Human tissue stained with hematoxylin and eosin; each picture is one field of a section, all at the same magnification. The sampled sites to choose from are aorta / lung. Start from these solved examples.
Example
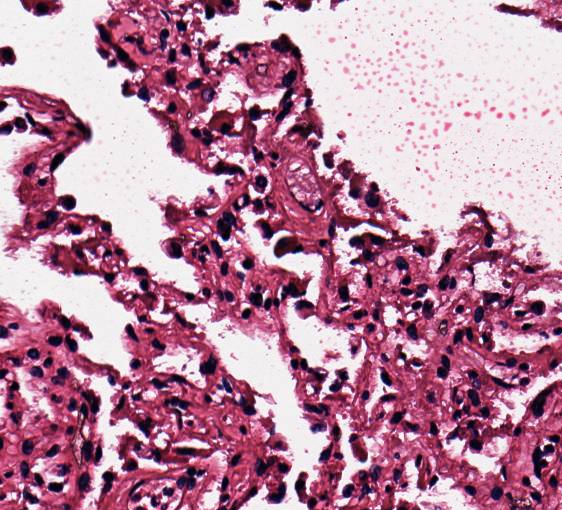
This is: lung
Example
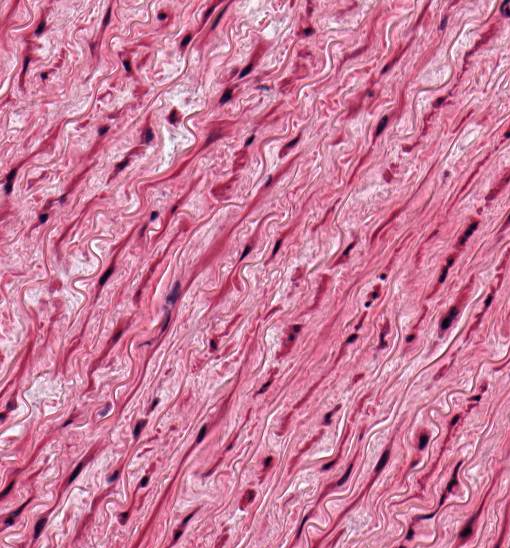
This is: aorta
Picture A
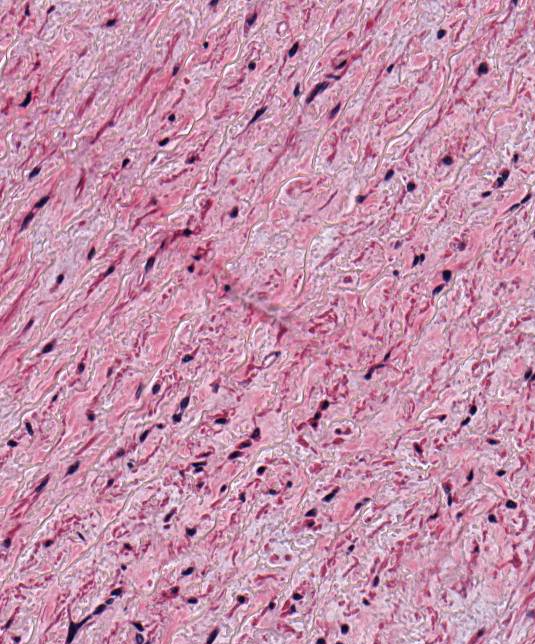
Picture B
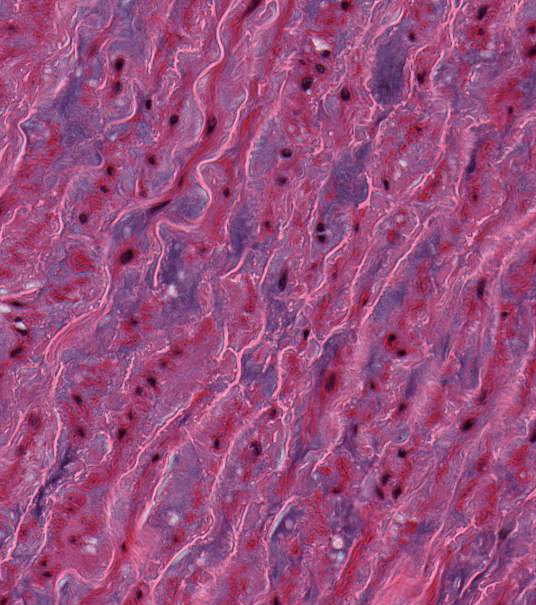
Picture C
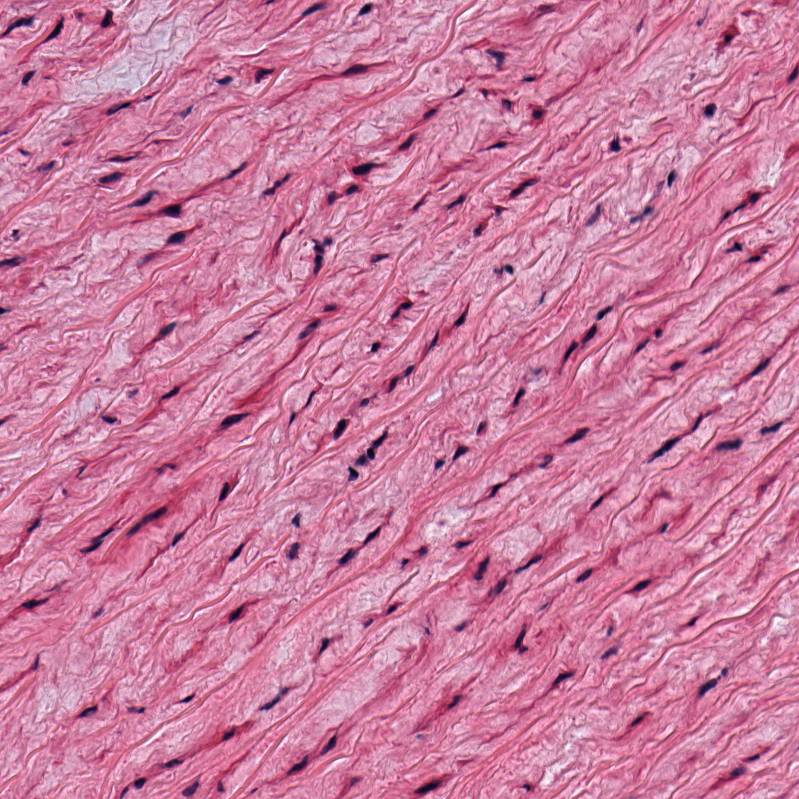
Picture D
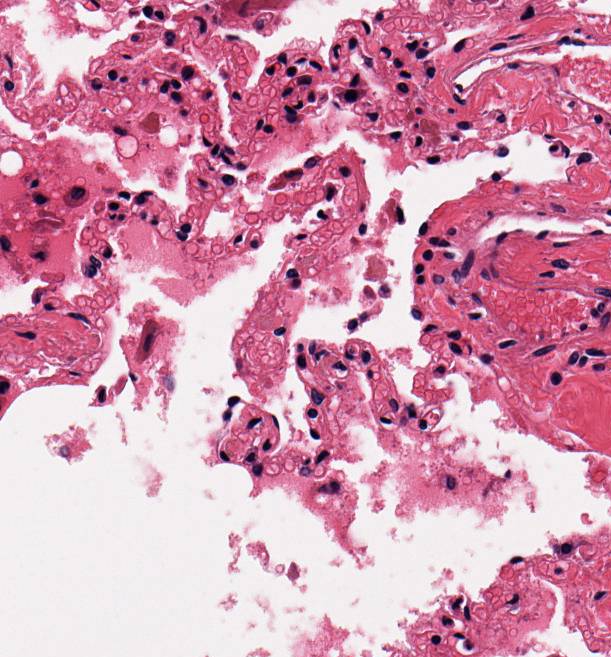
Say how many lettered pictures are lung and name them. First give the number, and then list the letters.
Count: 1 (D)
